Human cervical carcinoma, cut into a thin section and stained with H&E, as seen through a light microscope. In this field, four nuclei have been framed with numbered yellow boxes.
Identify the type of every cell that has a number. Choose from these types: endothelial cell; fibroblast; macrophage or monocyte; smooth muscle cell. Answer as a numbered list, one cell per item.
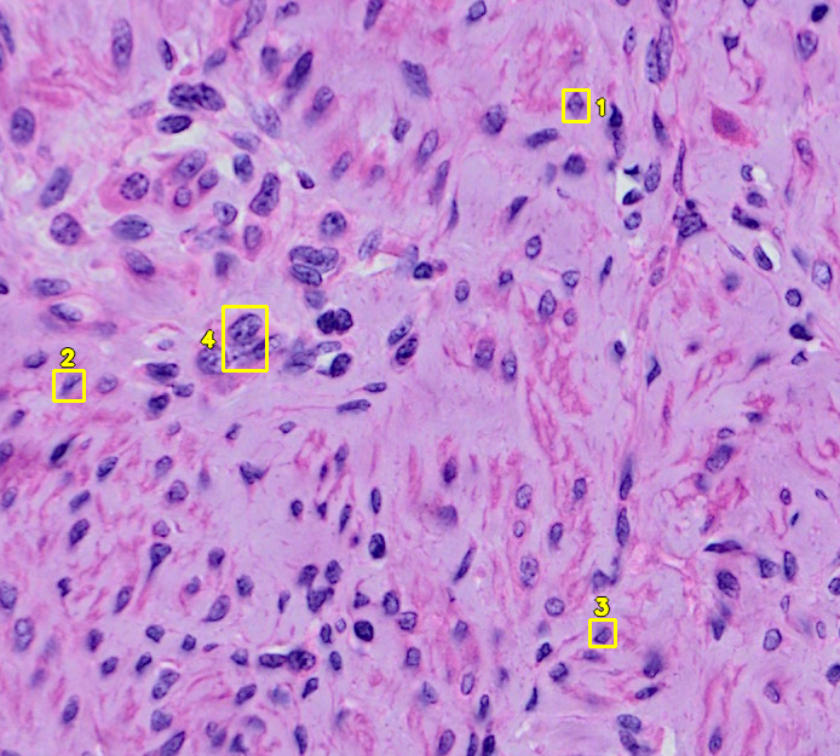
1. smooth muscle cell
2. smooth muscle cell
3. smooth muscle cell
4. endothelial cell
